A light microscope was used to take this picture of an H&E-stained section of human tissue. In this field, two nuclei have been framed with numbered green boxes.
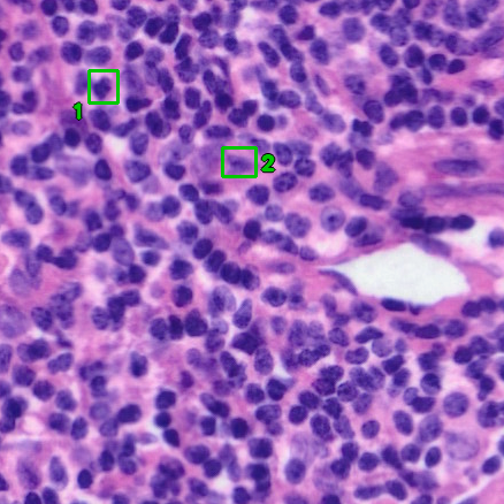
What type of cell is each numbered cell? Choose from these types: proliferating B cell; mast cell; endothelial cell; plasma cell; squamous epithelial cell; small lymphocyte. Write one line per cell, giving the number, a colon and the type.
1: small lymphocyte
2: endothelial cell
